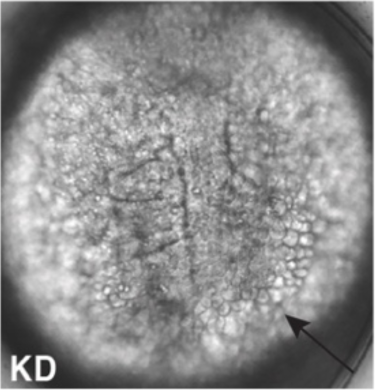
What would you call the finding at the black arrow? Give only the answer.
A: Cell dissociation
